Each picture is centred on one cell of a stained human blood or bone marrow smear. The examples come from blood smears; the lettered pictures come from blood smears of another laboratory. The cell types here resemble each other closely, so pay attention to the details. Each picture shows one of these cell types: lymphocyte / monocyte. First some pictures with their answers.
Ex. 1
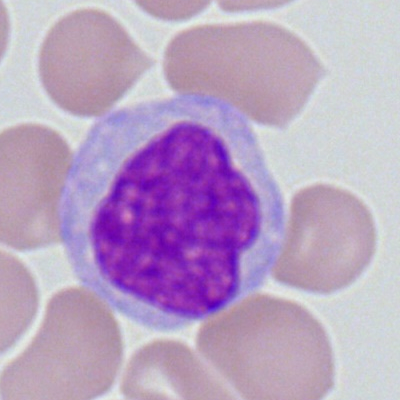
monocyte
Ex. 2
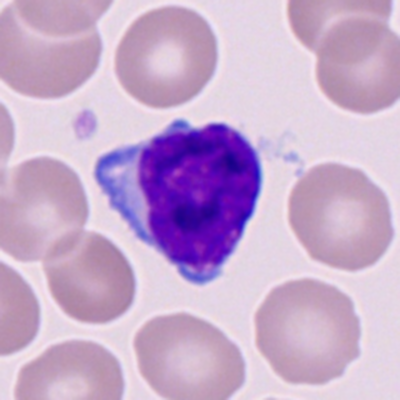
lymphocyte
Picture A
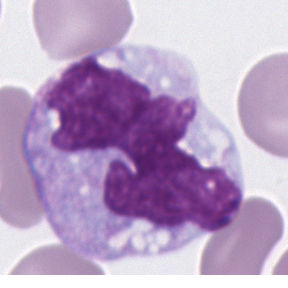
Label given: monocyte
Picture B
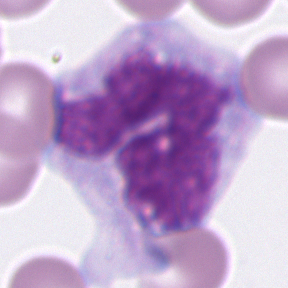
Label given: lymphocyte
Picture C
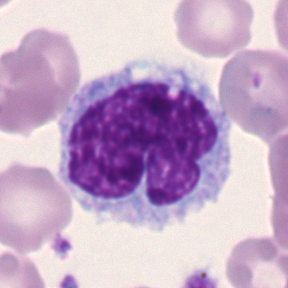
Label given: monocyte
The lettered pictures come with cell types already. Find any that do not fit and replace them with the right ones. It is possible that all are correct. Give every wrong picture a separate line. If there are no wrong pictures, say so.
Wrong: B (lymphocyte); correct: monocyte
